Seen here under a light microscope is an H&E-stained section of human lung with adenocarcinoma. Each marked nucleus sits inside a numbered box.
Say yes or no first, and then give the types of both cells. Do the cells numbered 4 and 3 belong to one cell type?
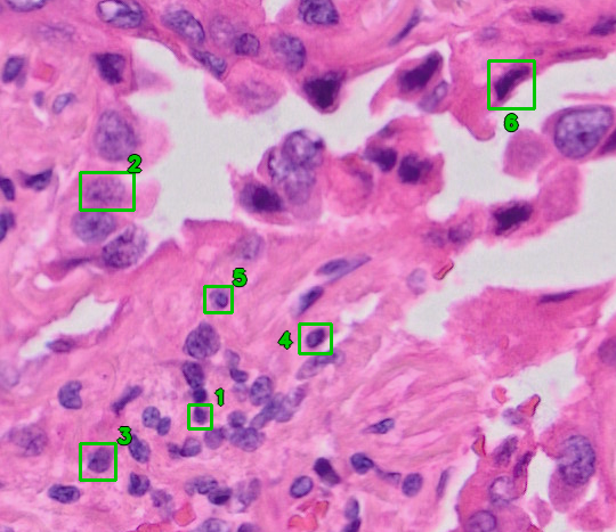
Yes, in this section cells 4 and 3 are both lymphocytes.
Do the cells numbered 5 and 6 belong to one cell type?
No, cell 5 counts as a lymphocyte, and cell 6 counts as a carcinoma cell.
